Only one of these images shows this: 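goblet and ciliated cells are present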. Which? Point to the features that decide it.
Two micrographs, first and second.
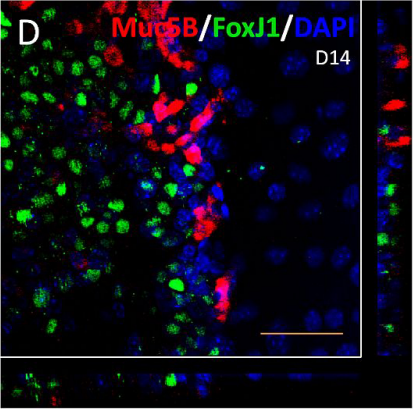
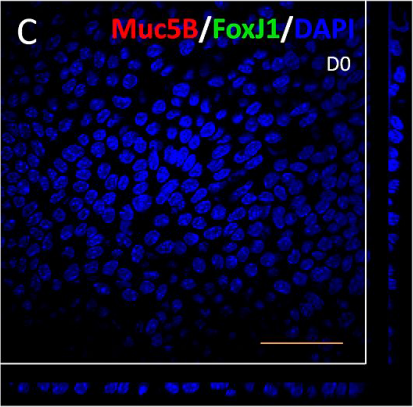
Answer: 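First image: red-filled cells and many green nuclei are present. Second image: only blue nuclei, no red or green signal.
Conclusion: the first image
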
